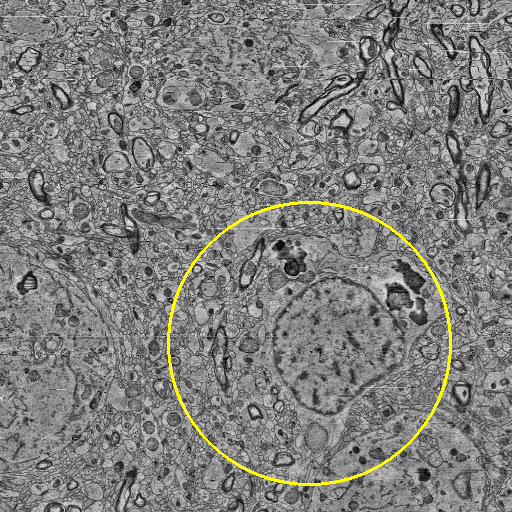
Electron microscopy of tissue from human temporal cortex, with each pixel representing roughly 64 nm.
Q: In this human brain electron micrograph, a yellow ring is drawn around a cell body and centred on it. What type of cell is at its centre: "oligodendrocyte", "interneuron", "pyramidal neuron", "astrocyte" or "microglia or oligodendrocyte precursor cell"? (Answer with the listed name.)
astrocyte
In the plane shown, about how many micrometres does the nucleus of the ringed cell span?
About 9 micrometres across in this plane.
